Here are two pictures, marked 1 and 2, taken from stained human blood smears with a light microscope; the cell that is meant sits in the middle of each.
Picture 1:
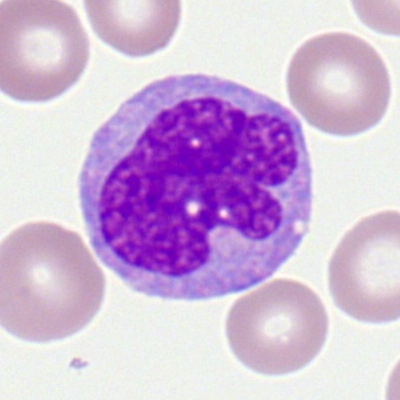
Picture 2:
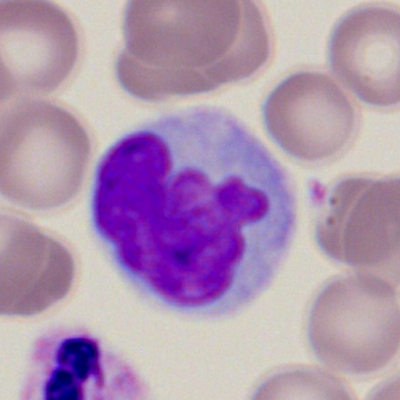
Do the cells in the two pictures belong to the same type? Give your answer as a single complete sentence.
Yes, they are the same type: both are monocytes.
